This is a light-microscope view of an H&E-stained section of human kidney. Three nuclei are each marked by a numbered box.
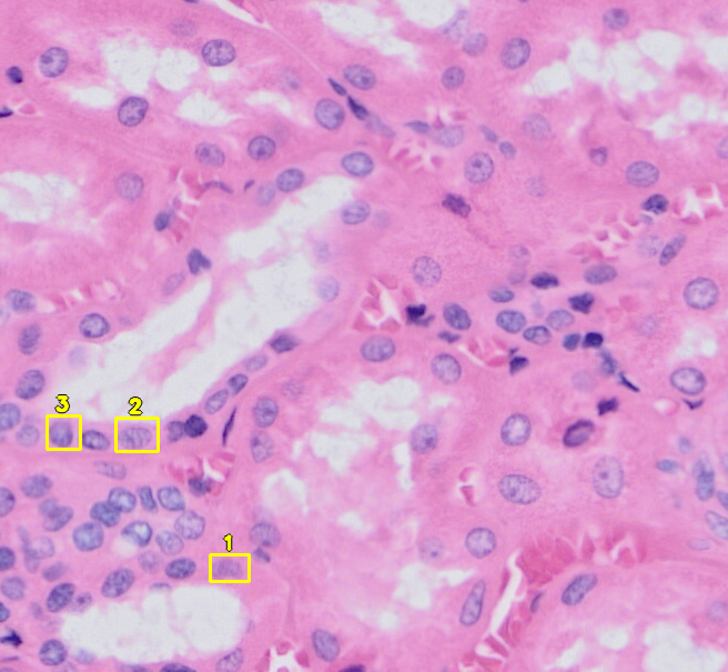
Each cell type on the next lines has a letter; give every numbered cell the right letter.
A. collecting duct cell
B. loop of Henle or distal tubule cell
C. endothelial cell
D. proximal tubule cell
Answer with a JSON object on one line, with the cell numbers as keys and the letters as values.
{"1": "B", "2": "A", "3": "A"}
